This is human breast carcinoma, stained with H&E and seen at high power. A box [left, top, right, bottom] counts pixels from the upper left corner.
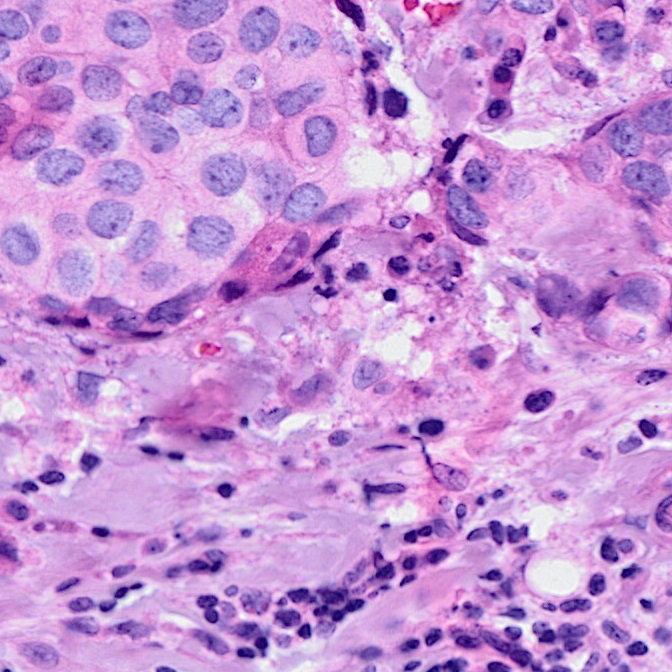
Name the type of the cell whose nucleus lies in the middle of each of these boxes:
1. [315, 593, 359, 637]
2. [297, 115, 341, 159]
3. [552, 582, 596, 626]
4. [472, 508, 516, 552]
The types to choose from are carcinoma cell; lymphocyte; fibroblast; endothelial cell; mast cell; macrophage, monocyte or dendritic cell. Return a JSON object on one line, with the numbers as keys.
{"1": "lymphocyte", "2": "carcinoma cell", "3": "lymphocyte", "4": "lymphocyte"}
